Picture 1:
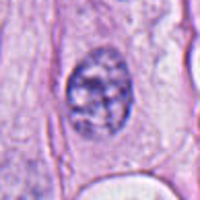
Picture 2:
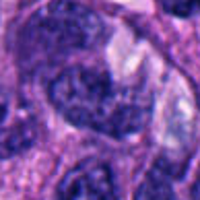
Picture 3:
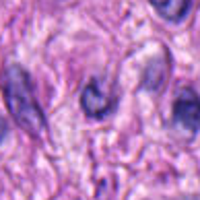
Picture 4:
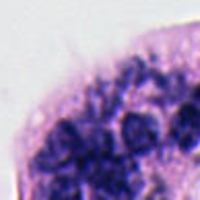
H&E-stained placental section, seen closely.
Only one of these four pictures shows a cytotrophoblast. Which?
Picture 2.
